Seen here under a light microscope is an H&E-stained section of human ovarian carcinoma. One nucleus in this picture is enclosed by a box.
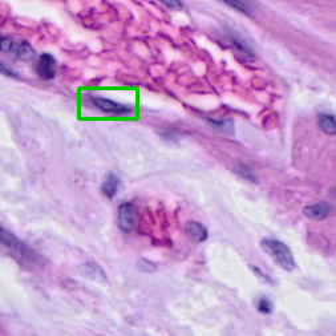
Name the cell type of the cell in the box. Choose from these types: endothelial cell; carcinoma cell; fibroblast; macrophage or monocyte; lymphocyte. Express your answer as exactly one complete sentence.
The cell type of the cell in the box is that of an endothelial cell.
